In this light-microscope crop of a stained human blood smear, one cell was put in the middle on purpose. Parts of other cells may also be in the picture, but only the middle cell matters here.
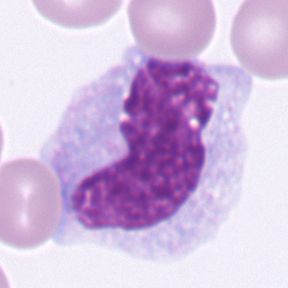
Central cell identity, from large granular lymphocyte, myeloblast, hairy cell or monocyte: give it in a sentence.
The cell at the centre of the field is a monocyte.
